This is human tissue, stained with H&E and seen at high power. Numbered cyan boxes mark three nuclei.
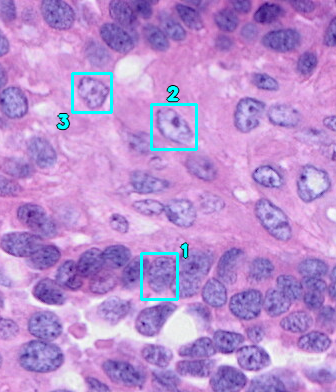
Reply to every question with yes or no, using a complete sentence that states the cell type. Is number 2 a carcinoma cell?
No. Cell number 2 is a fibroblast, not a carcinoma cell.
